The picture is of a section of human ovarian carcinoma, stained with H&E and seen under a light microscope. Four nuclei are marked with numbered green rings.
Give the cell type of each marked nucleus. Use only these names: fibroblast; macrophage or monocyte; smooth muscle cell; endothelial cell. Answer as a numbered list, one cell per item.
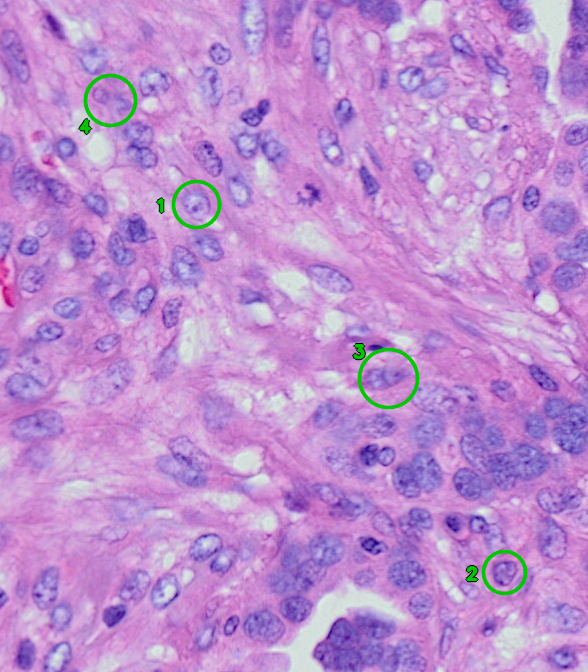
1. fibroblast
2. macrophage or monocyte
3. fibroblast
4. fibroblast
